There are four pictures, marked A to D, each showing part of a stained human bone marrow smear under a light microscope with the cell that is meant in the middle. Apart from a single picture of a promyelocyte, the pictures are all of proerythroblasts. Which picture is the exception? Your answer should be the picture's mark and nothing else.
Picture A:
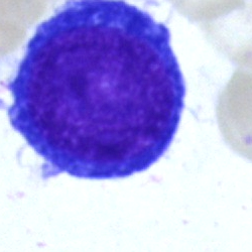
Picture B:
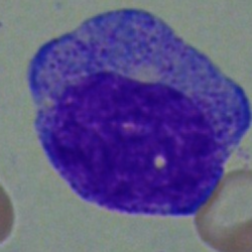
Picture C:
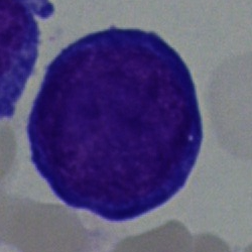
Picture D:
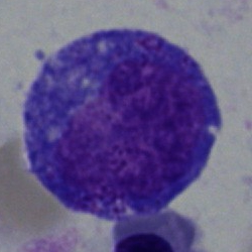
B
